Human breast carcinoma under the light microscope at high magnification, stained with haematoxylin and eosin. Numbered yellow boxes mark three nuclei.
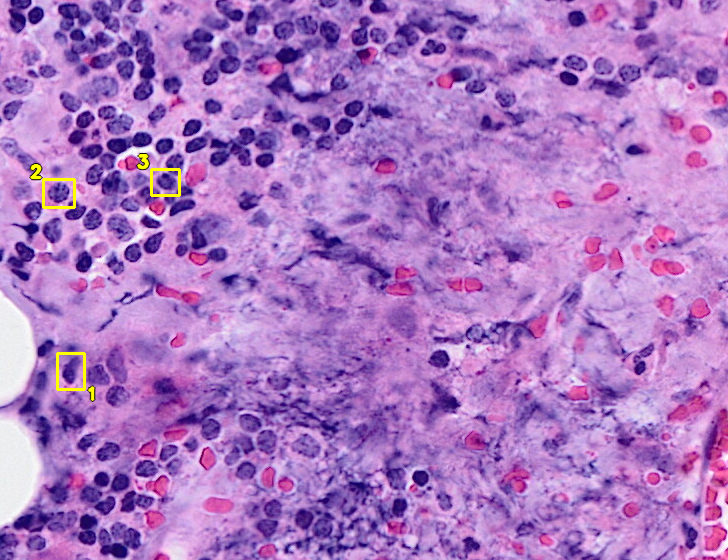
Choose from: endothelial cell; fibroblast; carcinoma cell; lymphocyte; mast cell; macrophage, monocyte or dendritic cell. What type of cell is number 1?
lymphocyte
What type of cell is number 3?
lymphocyte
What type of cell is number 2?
mast cell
